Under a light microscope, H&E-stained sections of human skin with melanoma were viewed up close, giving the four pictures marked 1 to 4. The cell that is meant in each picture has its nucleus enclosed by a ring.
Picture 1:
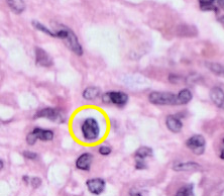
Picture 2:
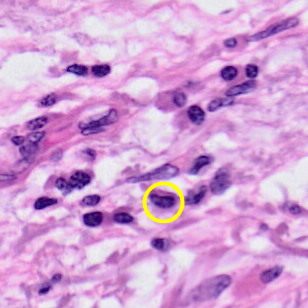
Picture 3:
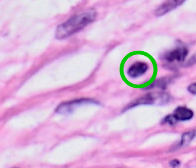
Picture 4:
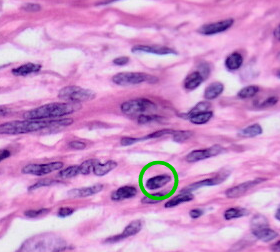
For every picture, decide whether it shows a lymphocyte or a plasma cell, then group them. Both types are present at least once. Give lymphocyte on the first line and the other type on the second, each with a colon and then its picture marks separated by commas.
lymphocyte: 1, 3, 4
plasma cell: 2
